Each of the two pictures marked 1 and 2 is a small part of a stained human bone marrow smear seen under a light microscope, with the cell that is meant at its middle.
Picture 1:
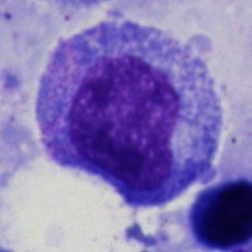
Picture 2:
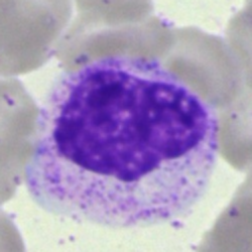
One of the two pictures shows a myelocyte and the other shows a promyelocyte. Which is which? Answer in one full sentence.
The cell in picture 1 is a promyelocyte, and the one in picture 2 is a myelocyte.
